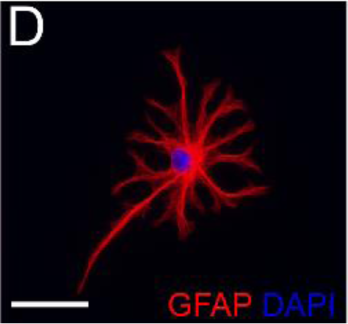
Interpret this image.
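This is a single astrocyte grown in culture, with its nucleus in blue and its cytoplasm in red. The red stain looks fibrous, running in strands along the processes, some of which branch near their ends. One process is much longer than the rest and runs off towards the lower left.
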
